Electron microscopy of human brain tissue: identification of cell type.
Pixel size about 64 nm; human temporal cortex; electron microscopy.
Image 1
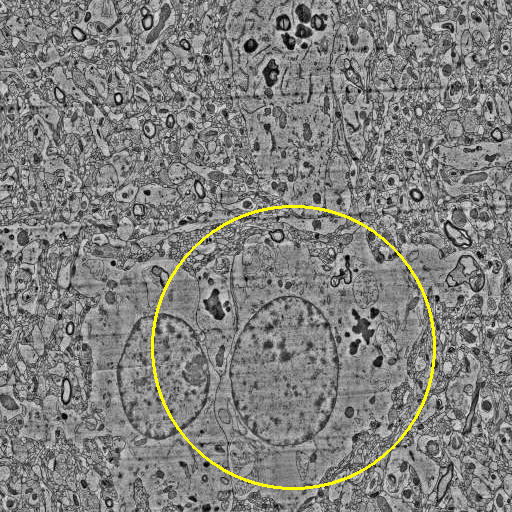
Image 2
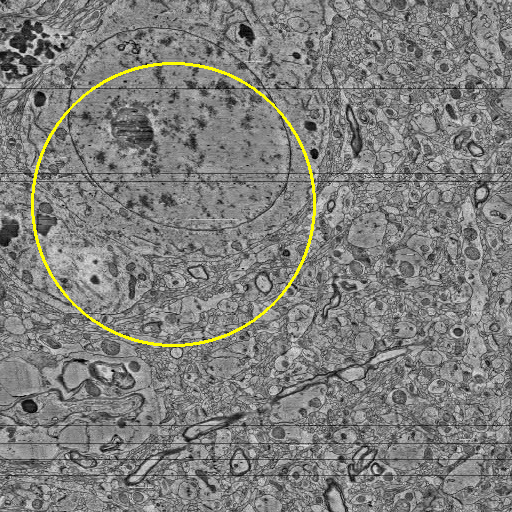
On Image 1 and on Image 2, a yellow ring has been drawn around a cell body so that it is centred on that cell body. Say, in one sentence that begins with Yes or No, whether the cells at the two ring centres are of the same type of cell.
No, the two cells are two separate types of cell.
